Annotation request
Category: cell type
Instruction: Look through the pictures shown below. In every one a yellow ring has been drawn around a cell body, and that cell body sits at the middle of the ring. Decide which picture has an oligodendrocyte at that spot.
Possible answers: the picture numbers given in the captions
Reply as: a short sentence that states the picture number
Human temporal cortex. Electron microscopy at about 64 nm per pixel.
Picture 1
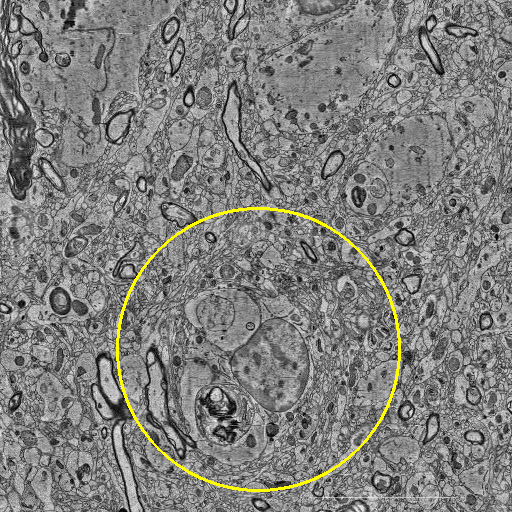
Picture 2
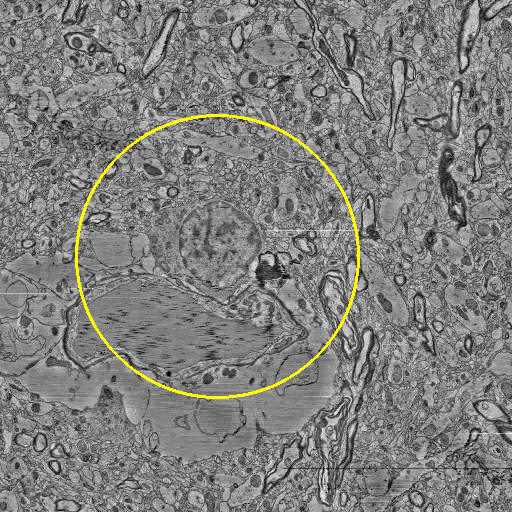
It is in Picture 2.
